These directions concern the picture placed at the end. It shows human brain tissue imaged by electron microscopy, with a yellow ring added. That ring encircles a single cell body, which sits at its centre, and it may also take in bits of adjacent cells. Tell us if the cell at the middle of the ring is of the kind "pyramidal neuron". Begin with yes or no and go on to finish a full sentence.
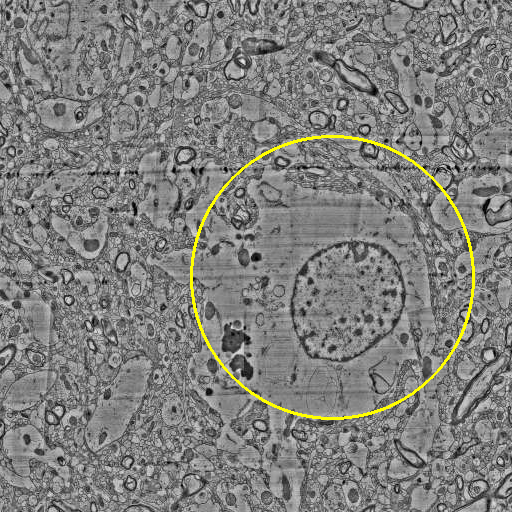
No, the cell sitting at the centre of the yellow ring in the picture belongs to another kind.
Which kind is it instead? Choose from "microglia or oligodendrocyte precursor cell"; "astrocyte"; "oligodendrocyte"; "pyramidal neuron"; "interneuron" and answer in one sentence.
As it turns out, the cell at the ring centre is an astrocyte.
